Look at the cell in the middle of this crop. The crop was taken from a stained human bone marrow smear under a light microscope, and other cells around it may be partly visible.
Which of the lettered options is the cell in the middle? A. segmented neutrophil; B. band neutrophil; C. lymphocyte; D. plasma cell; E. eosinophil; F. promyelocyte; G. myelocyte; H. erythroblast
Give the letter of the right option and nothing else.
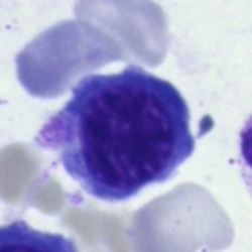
H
